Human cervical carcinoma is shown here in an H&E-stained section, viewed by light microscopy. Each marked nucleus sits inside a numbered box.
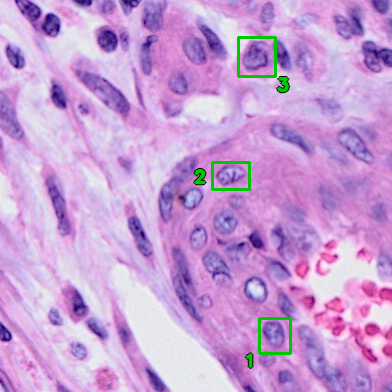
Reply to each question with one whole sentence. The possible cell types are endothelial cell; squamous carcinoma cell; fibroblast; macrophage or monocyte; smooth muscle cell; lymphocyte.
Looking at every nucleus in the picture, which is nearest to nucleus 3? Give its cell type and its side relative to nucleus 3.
Lying to the right of nucleus 3, the nearest nucleus is that of a lymphocyte.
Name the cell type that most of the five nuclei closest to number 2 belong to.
Most of the five nuclei nearest to number 2 are those of smooth muscle cells.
